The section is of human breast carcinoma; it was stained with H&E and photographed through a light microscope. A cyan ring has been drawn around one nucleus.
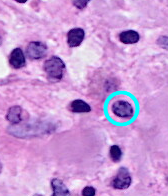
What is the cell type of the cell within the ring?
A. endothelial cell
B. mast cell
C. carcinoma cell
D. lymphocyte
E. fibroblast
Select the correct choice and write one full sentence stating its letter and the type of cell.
Among the choices, option B is correct, the cell within the ring being a mast cell.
